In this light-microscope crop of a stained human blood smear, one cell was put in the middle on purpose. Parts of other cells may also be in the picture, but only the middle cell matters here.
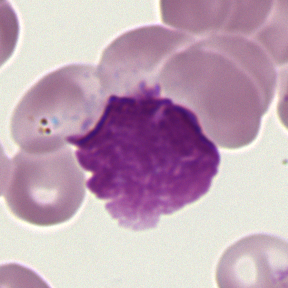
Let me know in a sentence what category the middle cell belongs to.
The cell found in the middle of this crop is a smudge cell.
